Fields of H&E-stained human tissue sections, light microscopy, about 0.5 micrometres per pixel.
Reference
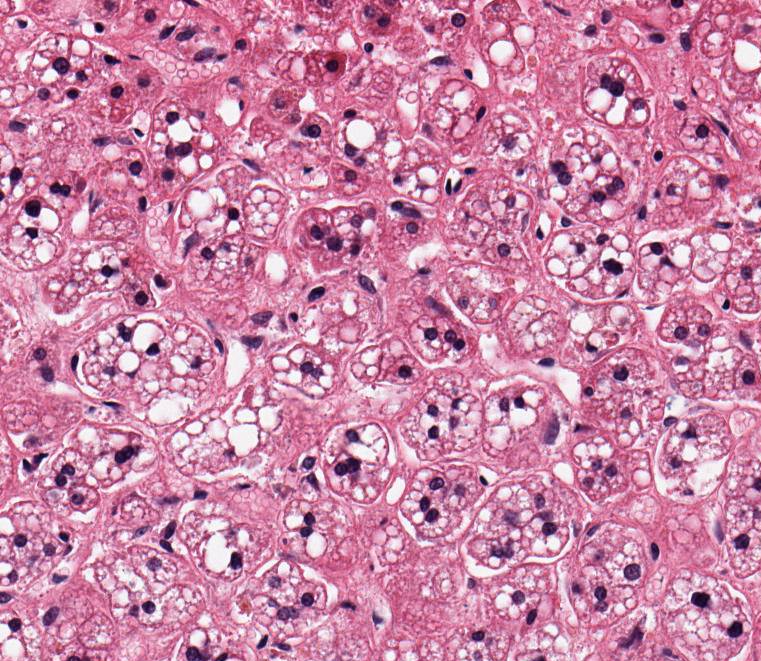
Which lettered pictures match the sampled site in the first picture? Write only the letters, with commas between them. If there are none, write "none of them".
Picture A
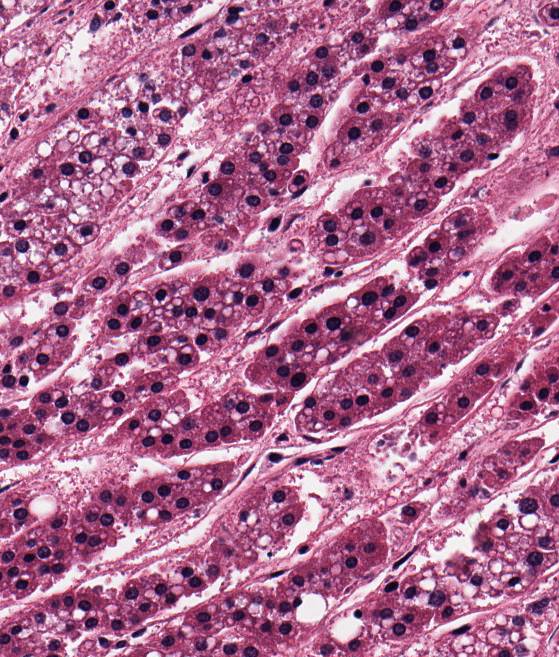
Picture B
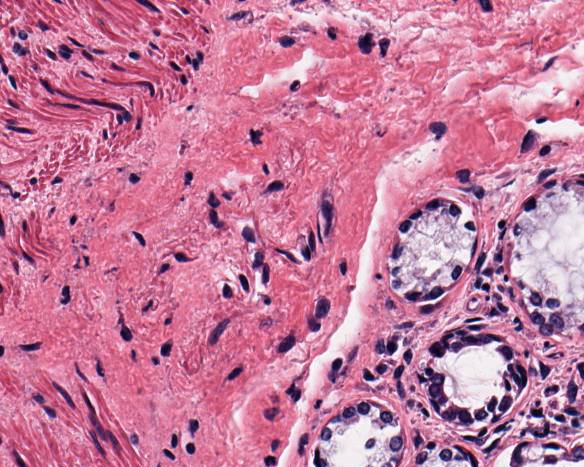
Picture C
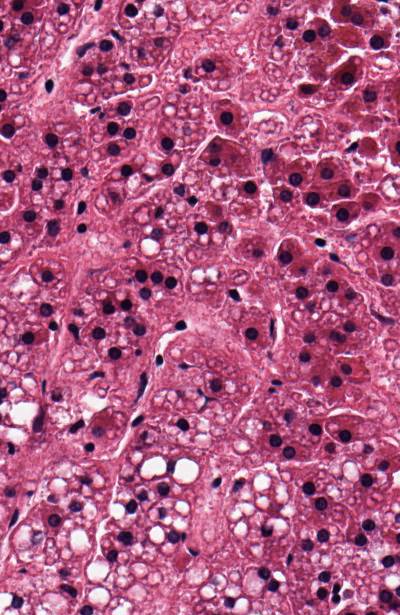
A, C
